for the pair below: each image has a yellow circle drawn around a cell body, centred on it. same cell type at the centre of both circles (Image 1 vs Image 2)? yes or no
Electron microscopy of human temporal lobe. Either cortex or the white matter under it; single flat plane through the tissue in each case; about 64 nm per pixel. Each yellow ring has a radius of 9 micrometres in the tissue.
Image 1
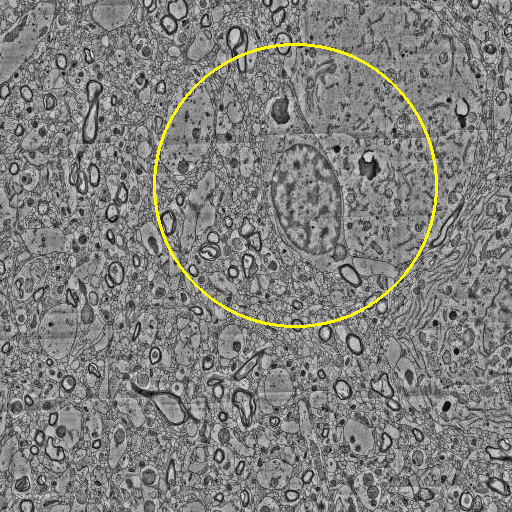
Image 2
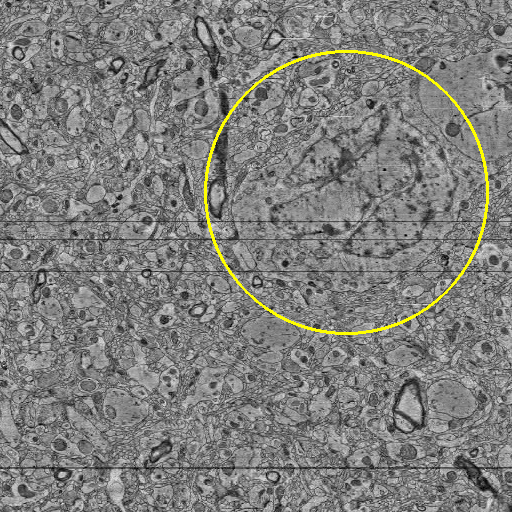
no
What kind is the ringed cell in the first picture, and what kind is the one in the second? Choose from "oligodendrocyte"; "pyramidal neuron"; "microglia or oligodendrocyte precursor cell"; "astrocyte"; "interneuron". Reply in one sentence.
The first cell is an oligodendrocyte; the second is an interneuron.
